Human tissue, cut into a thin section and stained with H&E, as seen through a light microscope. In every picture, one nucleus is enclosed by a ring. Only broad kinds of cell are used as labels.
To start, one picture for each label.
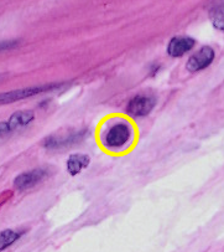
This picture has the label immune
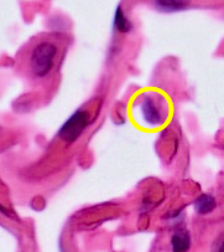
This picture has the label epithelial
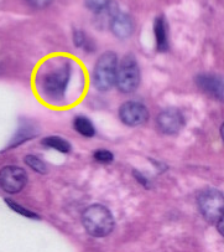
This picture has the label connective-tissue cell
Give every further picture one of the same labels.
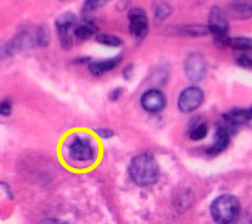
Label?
connective-tissue cell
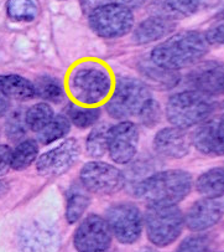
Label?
epithelial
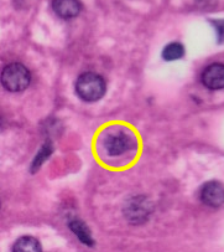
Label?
connective-tissue cell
